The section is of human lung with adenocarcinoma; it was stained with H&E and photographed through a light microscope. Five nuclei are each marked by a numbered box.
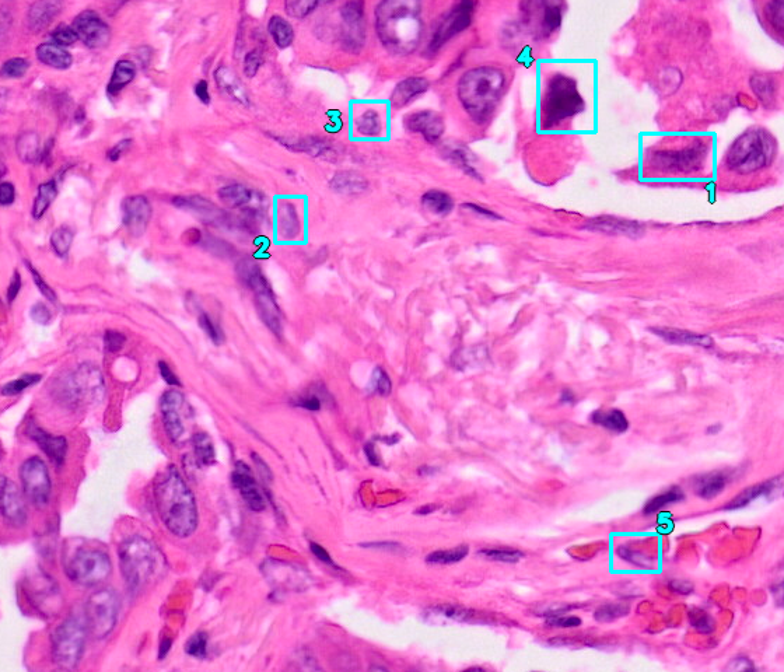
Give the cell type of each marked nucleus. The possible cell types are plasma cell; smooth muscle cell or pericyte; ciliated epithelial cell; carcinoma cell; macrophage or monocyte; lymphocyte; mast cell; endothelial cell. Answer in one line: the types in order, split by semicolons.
carcinoma cell; mast cell; lymphocyte; carcinoma cell; endothelial cell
